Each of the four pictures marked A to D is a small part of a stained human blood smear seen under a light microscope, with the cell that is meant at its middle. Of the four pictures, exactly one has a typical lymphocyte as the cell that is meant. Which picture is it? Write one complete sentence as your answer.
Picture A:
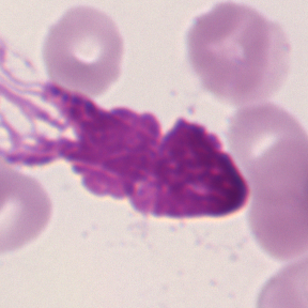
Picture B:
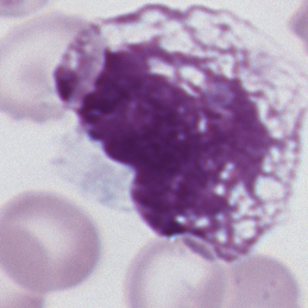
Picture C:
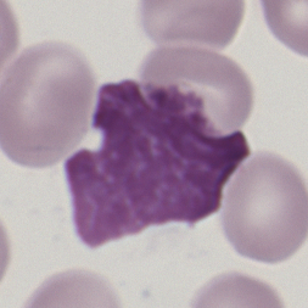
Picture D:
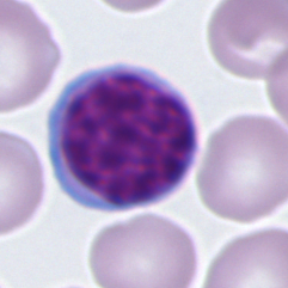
The typical lymphocyte is the one in picture D.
